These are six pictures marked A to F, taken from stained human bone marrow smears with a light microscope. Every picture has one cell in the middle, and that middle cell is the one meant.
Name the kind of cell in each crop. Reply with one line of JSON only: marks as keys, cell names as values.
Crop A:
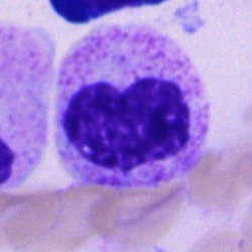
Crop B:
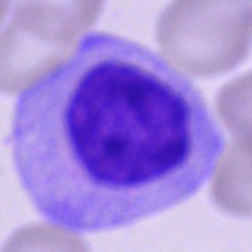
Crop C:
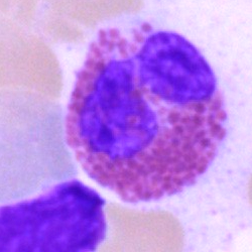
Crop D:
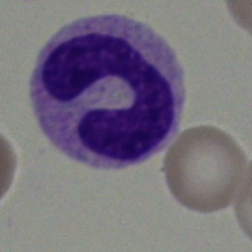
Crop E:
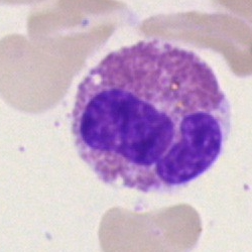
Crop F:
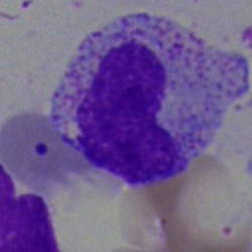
{"A": "metamyelocyte", "B": "metamyelocyte", "C": "eosinophil", "D": "band neutrophil", "E": "eosinophil", "F": "metamyelocyte"}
